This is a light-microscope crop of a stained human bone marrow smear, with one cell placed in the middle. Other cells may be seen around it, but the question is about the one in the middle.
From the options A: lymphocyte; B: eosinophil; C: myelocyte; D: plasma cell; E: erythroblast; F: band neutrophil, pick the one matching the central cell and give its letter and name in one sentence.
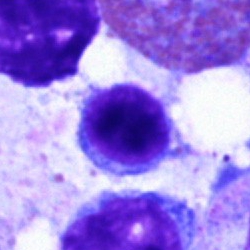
The cell in the centre of the crop is a lymphocyte, so option A is the correct one.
